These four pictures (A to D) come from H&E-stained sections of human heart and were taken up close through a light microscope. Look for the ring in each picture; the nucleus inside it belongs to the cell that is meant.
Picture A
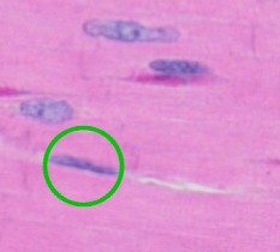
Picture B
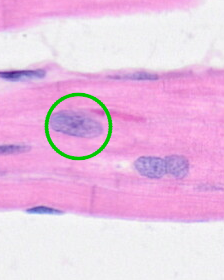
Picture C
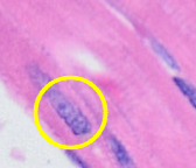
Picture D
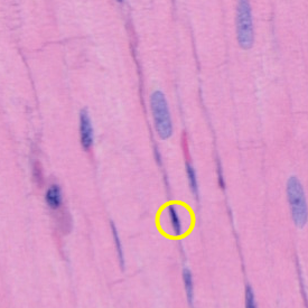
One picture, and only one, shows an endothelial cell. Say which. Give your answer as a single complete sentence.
Picture D shows the endothelial cell.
